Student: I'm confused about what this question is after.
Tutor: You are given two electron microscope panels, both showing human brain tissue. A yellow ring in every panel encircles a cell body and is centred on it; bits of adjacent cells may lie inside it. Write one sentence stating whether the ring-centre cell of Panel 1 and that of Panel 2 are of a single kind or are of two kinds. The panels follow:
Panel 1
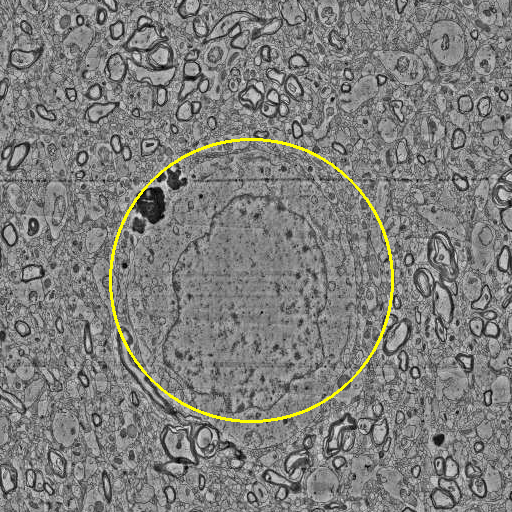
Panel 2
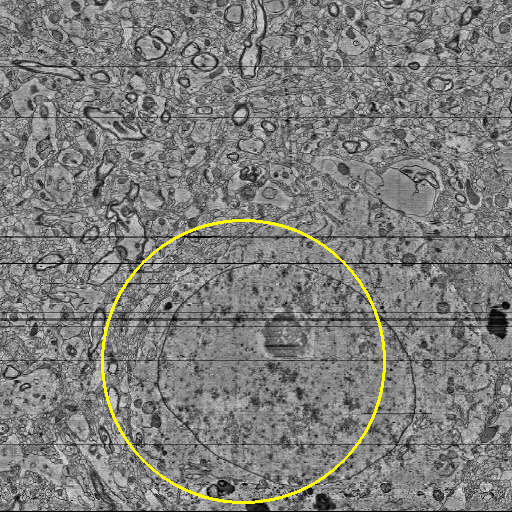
Here, the Panel 1 ring-centre cell and the Panel 2 ring-centre cell are of two kinds.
